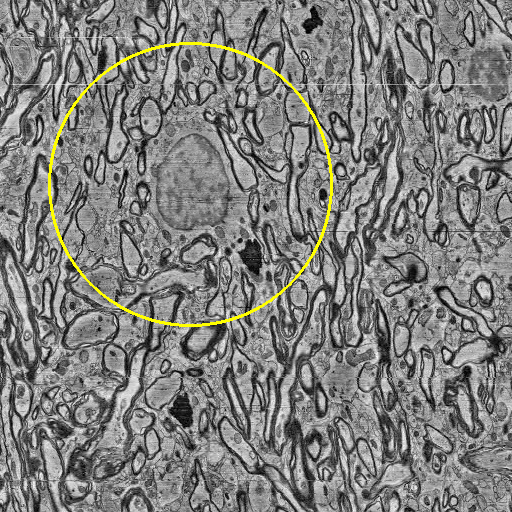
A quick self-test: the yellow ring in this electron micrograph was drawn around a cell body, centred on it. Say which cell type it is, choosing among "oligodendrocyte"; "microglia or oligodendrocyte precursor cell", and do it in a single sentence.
The yellow-ringed cell is an oligodendrocyte.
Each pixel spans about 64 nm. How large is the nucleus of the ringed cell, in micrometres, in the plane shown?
The nucleus has a long axis of about 6 micrometres and a short axis of about 5 micrometres in this plane.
